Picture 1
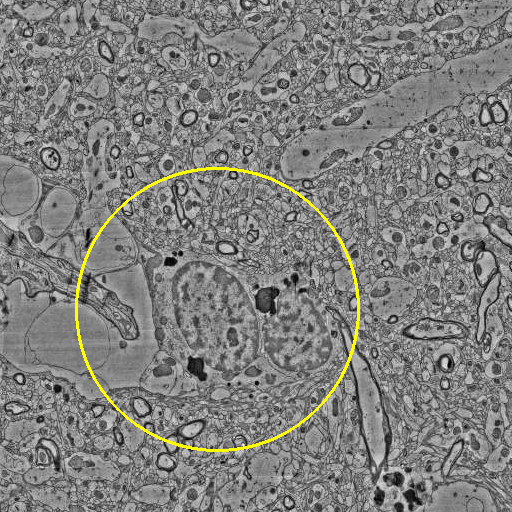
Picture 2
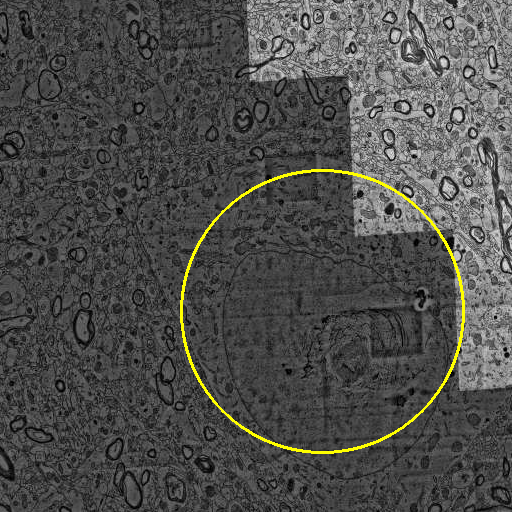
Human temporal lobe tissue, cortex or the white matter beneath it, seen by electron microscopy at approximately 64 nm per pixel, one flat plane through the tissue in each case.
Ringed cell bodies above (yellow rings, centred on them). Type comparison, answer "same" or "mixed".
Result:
mixed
